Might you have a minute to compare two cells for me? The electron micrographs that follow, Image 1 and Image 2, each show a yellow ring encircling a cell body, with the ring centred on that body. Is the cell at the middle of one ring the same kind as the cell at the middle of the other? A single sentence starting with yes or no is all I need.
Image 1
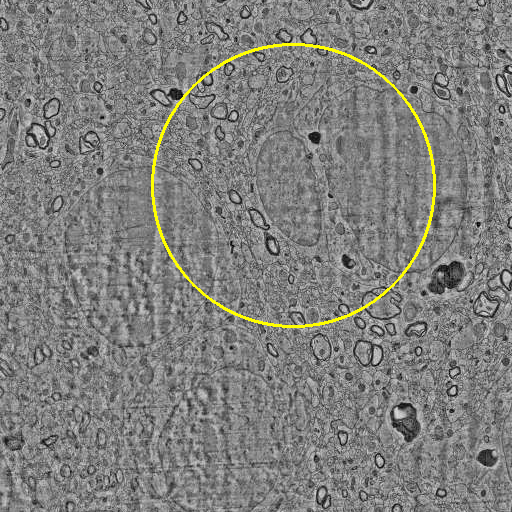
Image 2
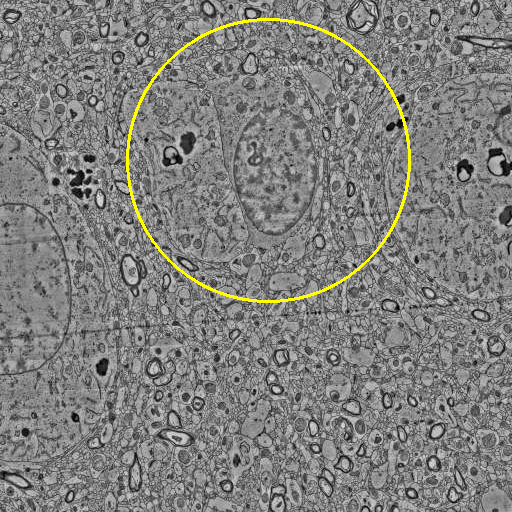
Yes, the cells in the middle of the two rings are of one shared kind.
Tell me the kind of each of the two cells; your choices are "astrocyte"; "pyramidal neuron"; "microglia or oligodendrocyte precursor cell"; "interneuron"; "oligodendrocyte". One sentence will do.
Both the first and the second picture show an oligodendrocyte in the ring.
